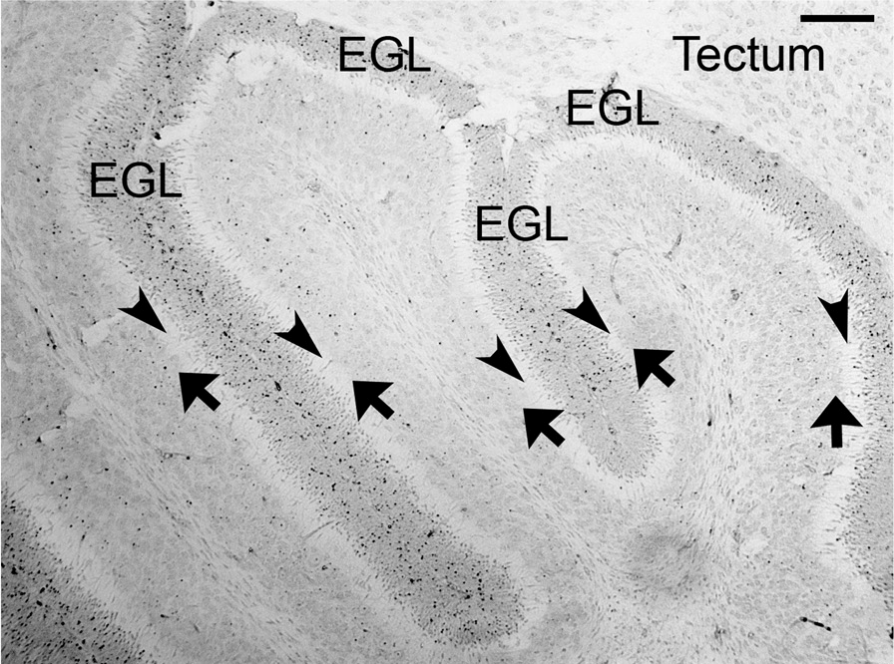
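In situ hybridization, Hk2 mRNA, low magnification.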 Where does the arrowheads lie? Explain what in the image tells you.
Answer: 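Molecular layer. The arrowheads point to a pale, cell-sparse band directly under the densely cellular outer layer. The band follows the folds of the folia.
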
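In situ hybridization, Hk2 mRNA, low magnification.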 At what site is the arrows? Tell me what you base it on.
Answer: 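The arrows point to a row of cells just deep to a pale band that lies beneath the darkly dotted outer layer. This row lies between the pale band and the deeper tissue of each folium.
Answer: Purkinje cell layer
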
